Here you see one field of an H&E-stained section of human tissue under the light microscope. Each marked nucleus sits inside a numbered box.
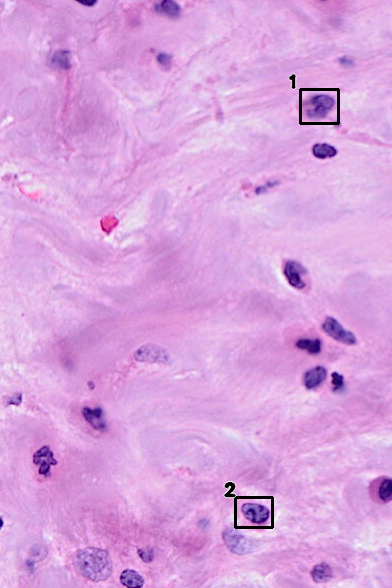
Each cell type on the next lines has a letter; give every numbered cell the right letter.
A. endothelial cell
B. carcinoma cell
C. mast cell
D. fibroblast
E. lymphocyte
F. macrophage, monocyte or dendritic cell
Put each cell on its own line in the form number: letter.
1: F
2: C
